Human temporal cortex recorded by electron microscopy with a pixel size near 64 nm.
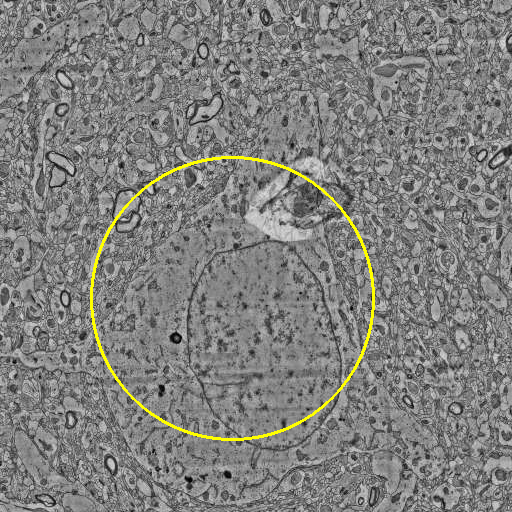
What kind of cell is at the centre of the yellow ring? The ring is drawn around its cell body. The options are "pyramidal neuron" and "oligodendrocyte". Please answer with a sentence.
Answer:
The yellow ring marks the cell body of a pyramidal neuron.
